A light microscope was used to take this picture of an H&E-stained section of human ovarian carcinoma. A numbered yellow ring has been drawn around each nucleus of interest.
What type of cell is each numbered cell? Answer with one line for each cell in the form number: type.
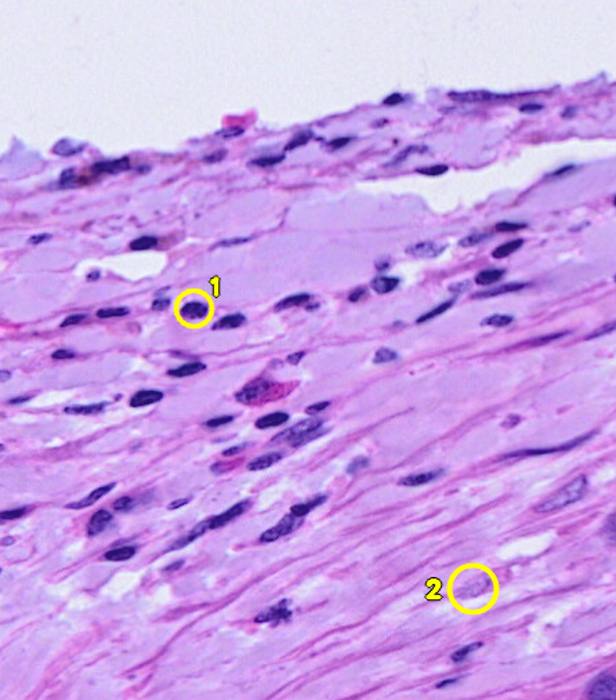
1: lymphocyte
2: fibroblast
